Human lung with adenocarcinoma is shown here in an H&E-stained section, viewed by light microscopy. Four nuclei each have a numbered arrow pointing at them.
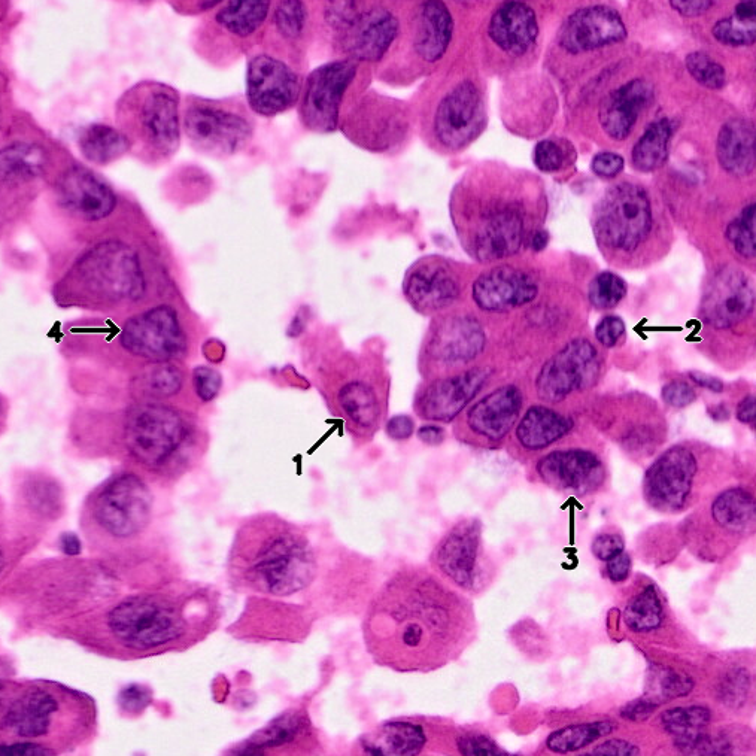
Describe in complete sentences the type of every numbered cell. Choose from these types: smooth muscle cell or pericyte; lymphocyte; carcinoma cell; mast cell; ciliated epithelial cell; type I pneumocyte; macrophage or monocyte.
Cell 1 is a macrophage or monocyte, cell 2 is a lymphocyte, cell 3 is a carcinoma cell and cell 4 is a carcinoma cell.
